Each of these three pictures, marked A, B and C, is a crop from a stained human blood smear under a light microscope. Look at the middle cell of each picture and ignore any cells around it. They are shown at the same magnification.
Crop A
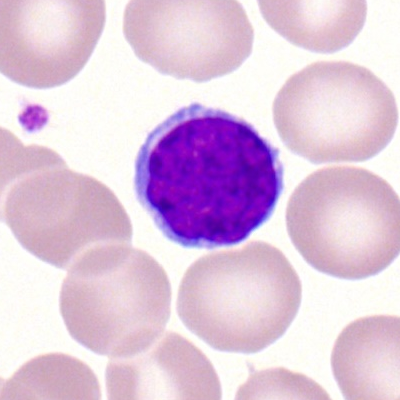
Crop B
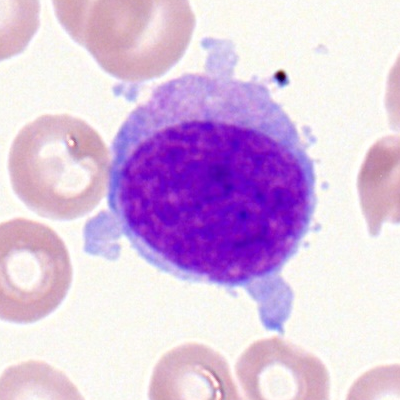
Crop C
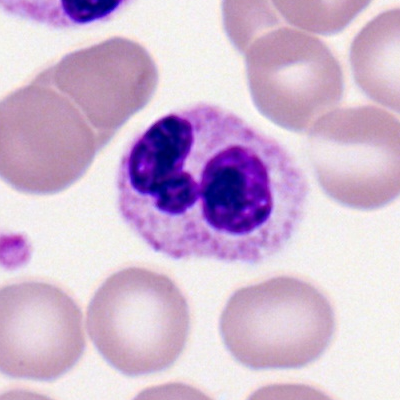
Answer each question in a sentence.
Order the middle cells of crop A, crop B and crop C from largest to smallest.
The order is B, C, A, beginning with the largest.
